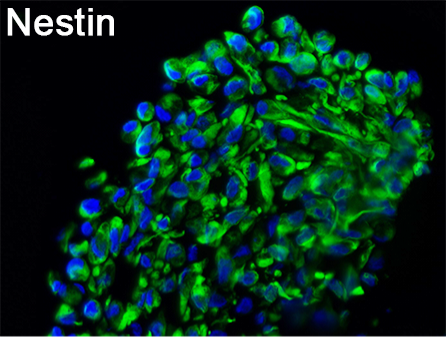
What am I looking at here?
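This is a section through a dense aggregate of cells, with closely packed oval to elongated blue nuclei. Green filamentous staining fills the cytoplasm around most nuclei. In places it forms long fibre-like strands that run between the cells, especially toward the upper right. The cells at the edge of the aggregate are rounded and loosely attached.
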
